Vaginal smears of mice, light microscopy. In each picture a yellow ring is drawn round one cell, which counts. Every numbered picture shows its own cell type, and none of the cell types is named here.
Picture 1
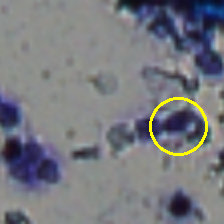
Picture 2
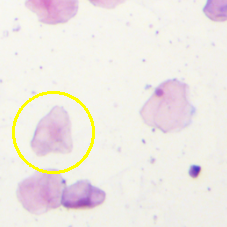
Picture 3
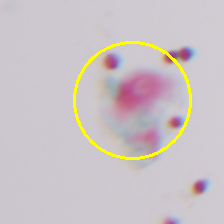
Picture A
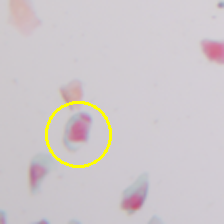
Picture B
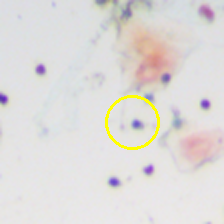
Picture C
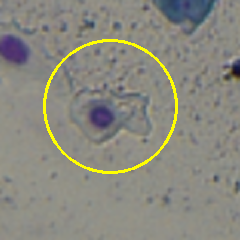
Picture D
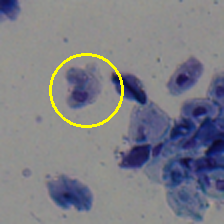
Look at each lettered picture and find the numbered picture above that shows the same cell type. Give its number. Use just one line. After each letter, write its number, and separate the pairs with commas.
A 3, B 1, C 3, D 3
